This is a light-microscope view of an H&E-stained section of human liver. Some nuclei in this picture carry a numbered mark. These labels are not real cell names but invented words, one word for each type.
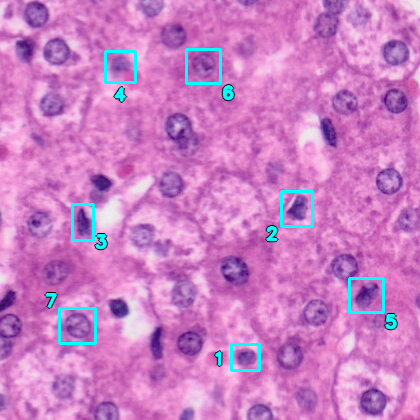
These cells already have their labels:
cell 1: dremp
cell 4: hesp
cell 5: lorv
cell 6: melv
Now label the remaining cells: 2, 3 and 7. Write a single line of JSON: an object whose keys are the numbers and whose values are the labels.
{"2": "hesp", "3": "hesp", "7": "melv"}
